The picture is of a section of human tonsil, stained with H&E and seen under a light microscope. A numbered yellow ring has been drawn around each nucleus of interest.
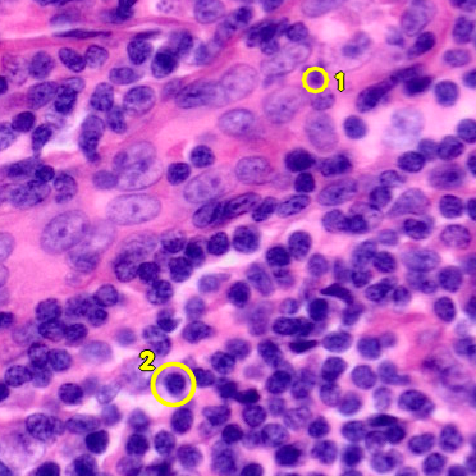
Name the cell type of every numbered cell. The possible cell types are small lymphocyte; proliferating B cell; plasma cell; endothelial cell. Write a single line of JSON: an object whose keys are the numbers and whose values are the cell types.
{"1": "endothelial cell", "2": "small lymphocyte"}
